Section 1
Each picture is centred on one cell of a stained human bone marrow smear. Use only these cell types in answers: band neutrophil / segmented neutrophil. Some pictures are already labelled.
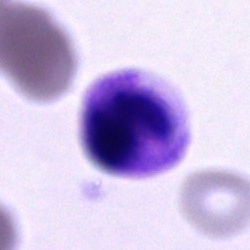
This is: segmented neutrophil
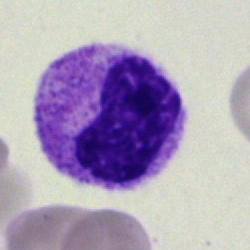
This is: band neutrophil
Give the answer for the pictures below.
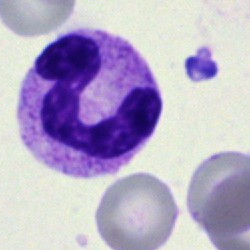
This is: segmented neutrophil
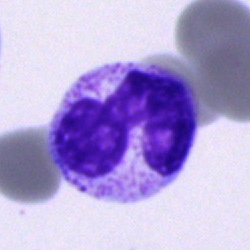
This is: band neutrophil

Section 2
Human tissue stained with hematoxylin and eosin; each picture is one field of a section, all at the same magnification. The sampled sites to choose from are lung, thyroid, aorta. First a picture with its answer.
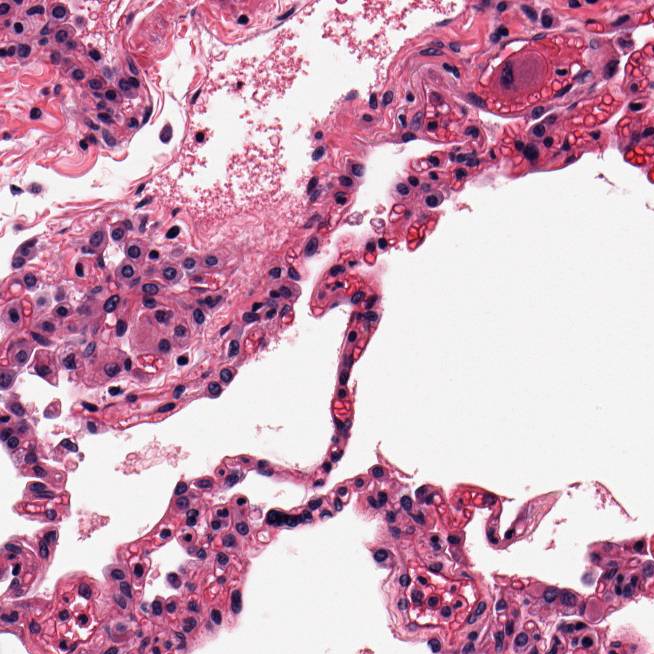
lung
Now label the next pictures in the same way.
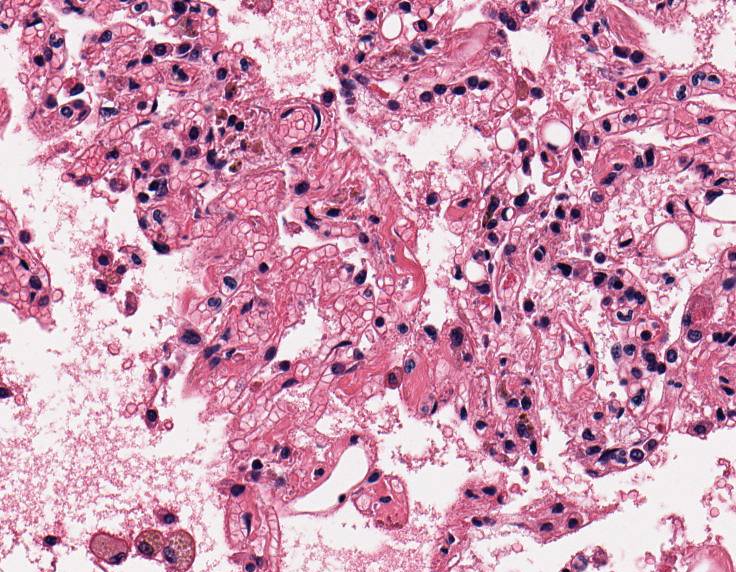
lung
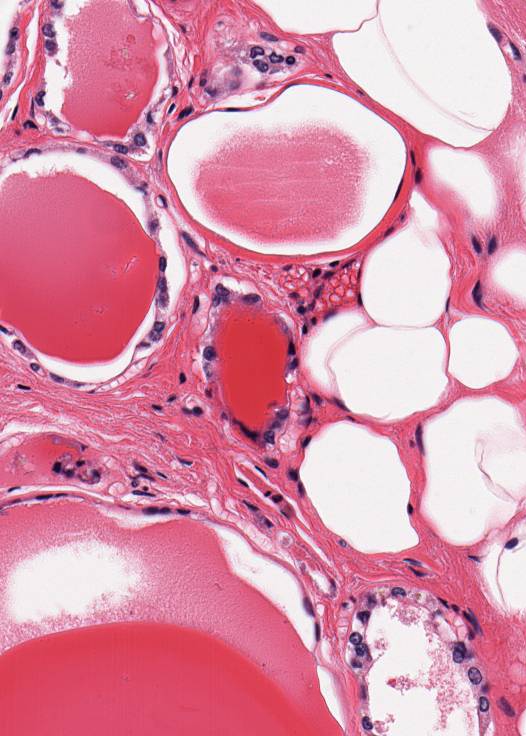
thyroid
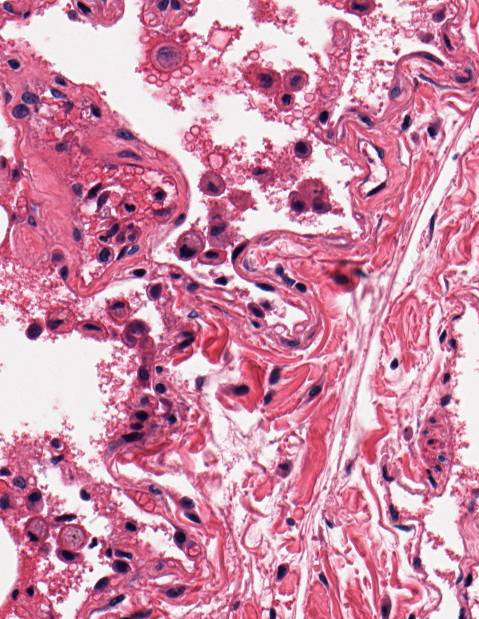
lung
